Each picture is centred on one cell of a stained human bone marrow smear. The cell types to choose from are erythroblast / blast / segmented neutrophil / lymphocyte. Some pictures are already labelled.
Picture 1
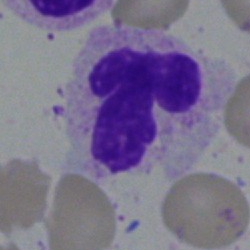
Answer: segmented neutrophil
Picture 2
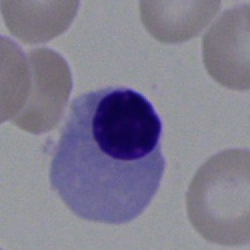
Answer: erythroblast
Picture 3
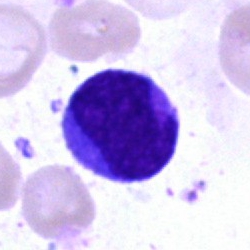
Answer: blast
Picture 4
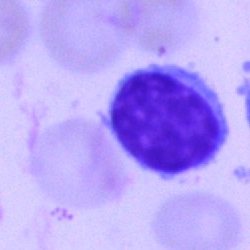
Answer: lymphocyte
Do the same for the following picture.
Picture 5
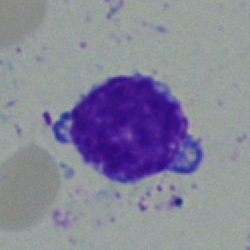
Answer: lymphocyte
